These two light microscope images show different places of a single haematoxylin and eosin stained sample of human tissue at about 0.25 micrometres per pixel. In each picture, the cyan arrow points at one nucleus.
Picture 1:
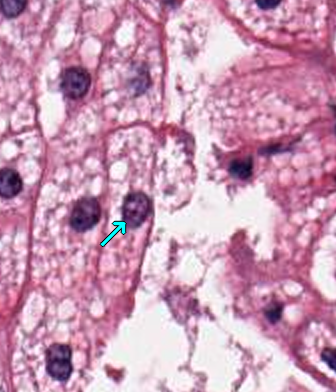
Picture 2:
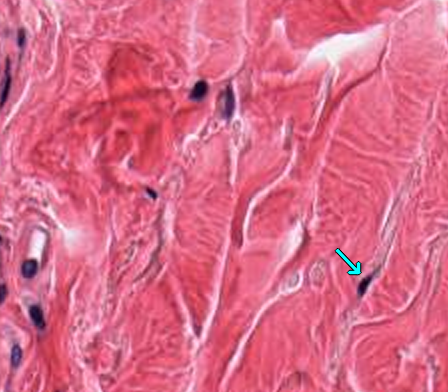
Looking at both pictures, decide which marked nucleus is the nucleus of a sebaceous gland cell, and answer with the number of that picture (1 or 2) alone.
1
